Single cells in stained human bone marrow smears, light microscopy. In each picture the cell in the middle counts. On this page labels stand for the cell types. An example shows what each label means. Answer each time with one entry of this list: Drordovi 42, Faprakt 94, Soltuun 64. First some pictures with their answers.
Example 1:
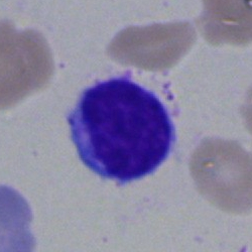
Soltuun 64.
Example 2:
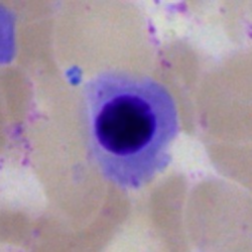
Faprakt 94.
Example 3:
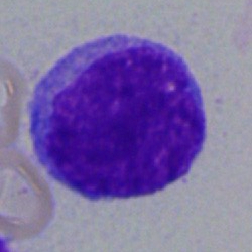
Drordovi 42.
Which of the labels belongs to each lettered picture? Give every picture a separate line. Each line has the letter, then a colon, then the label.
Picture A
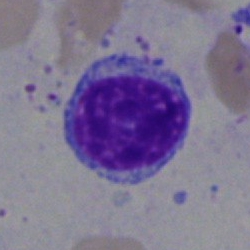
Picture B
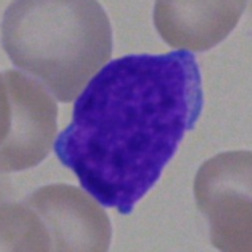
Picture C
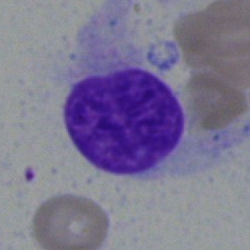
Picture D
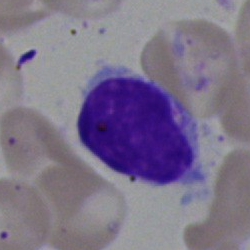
A: Soltuun 64.
B: Drordovi 42.
C: Soltuun 64.
D: Soltuun 64.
